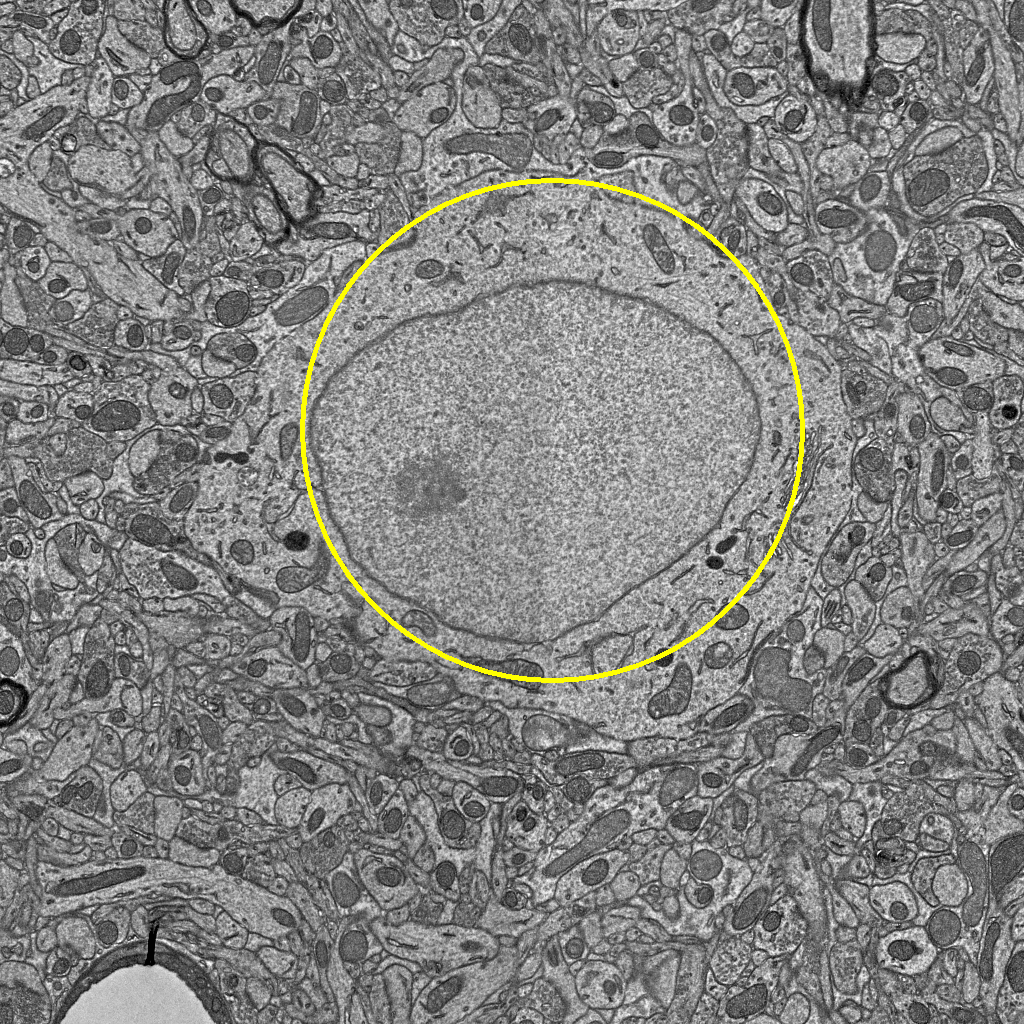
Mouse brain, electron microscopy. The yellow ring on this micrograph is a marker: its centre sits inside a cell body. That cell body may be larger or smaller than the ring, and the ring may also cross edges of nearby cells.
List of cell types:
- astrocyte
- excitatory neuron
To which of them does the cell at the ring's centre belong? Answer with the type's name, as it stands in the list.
excitatory neuron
